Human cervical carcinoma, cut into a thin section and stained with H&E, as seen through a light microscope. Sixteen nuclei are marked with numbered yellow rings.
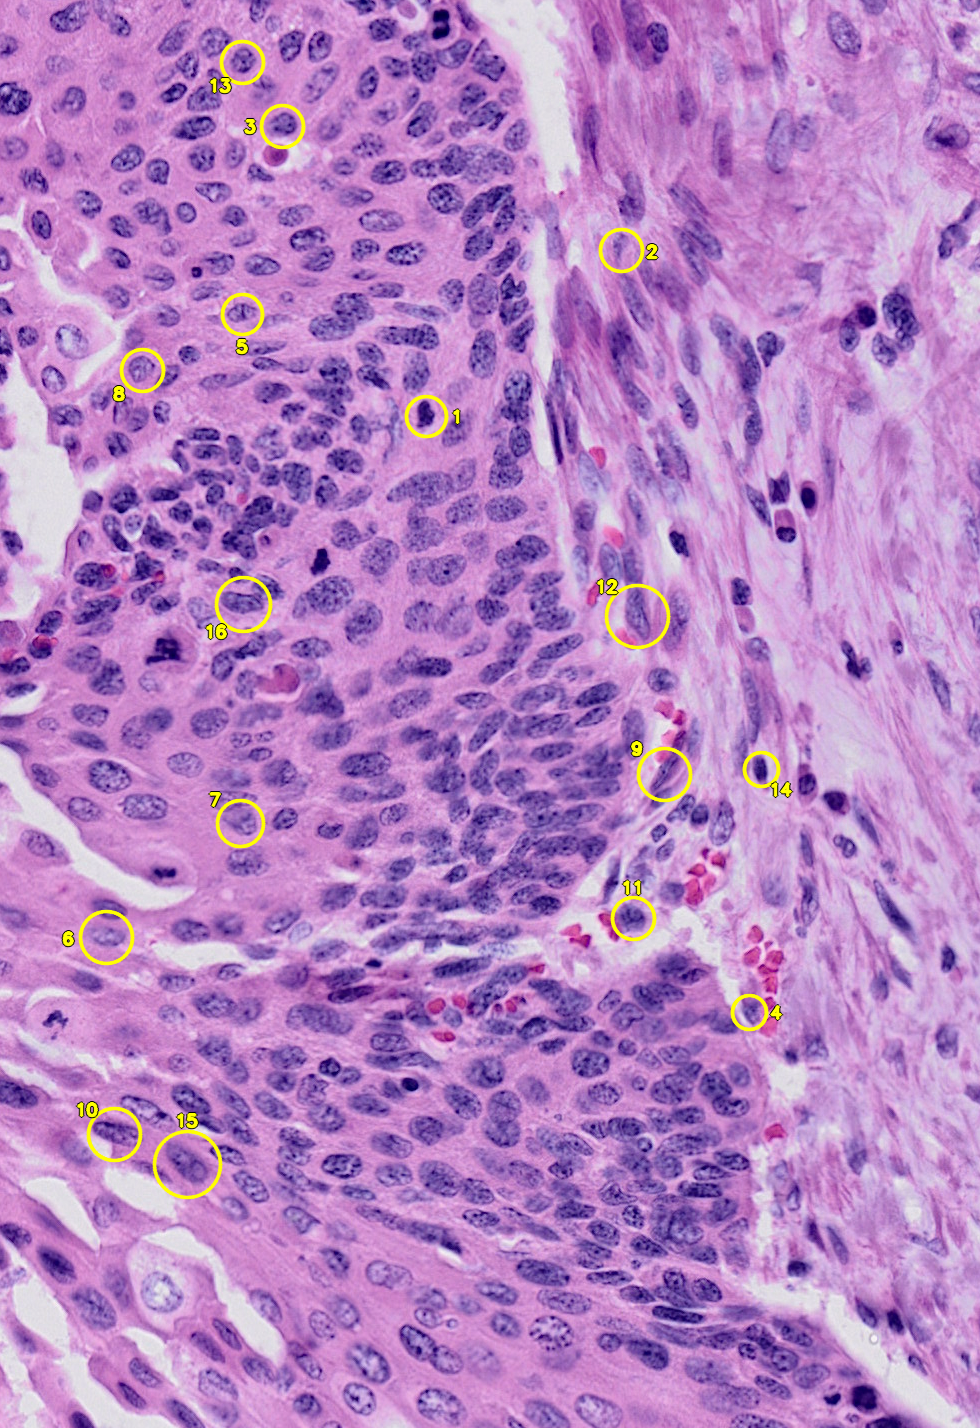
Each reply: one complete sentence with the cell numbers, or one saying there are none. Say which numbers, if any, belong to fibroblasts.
Of all the cells bearing numbers, cell 2 is the only one that is a fibroblast.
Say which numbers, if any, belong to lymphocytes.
Identification: the cells with numbers 1 and 14 are lymphocytes.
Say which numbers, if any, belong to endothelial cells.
The cells tagged with numbers 4, 9, 11 and 12 are endothelial cells.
